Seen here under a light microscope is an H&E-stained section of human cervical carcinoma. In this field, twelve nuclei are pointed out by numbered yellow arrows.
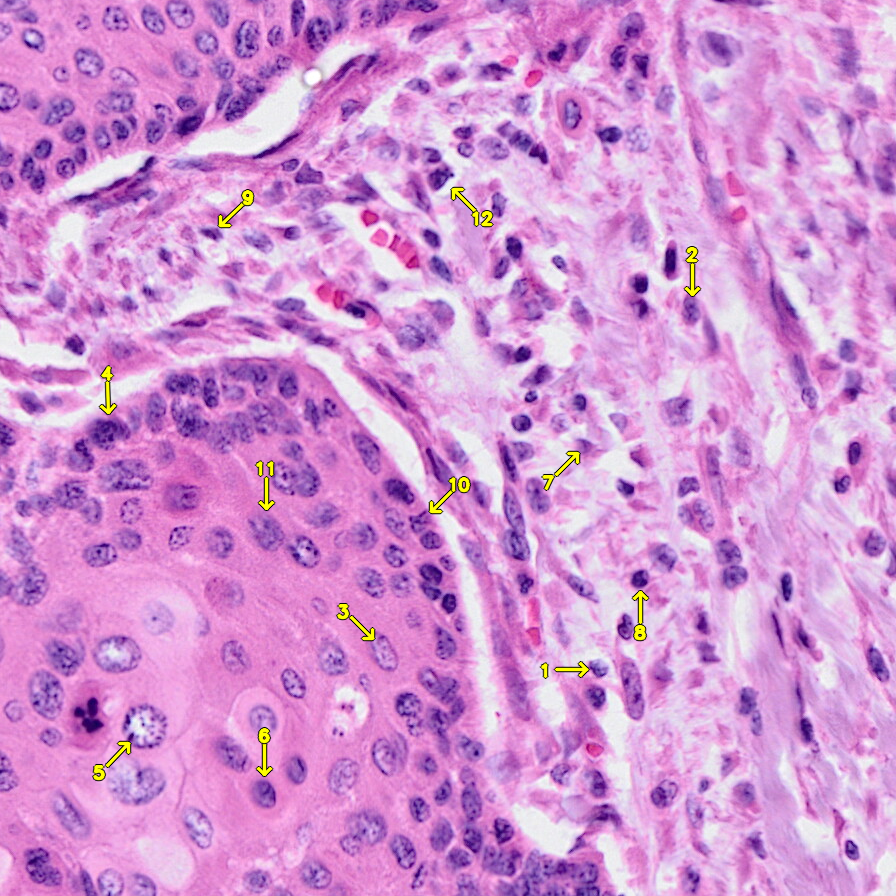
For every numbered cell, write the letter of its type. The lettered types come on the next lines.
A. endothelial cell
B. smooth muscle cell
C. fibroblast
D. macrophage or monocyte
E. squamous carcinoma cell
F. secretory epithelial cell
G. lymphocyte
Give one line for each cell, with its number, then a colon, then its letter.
1: G
2: D
3: E
4: E
5: E
6: E
7: C
8: G
9: C
10: E
11: E
12: G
